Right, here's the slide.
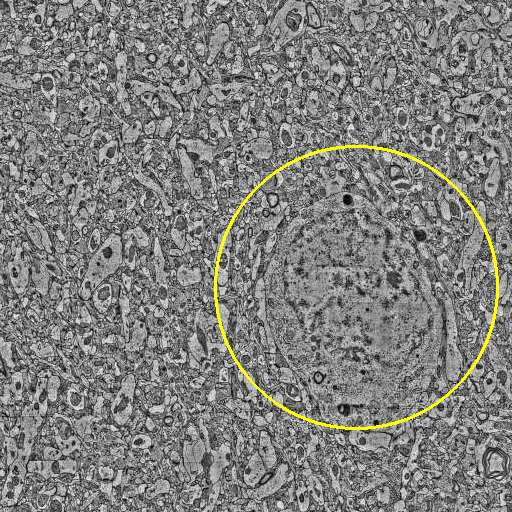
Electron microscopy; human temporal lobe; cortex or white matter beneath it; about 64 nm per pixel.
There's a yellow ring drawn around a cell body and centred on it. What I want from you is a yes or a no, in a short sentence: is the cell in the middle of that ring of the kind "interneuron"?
Yes, it's of that kind.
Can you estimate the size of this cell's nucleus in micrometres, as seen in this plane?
In this plane the nucleus is about 11 micrometres by 8.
